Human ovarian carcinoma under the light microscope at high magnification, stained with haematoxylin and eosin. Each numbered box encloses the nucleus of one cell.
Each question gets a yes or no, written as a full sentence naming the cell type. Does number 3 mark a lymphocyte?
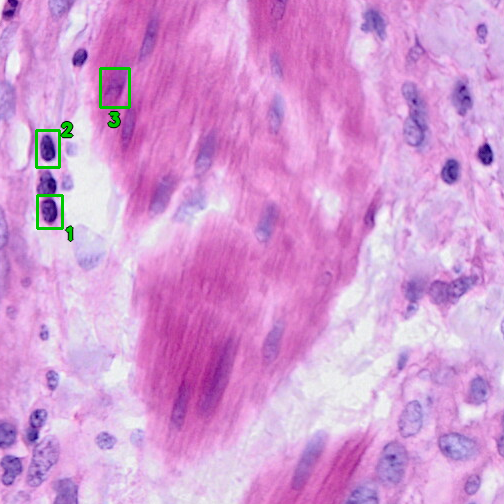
No, the identification of cell 3 as a lymphocyte is incorrect; it is a smooth muscle cell.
